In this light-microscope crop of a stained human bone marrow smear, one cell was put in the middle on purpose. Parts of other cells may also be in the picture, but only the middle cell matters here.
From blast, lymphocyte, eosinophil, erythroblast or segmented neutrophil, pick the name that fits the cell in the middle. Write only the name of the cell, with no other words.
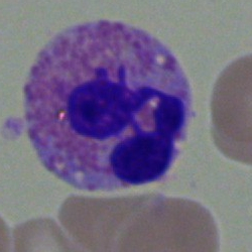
eosinophil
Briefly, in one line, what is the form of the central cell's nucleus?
We find a nucleus divided into at least two lobes.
